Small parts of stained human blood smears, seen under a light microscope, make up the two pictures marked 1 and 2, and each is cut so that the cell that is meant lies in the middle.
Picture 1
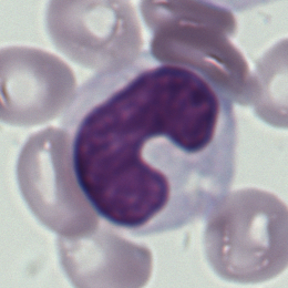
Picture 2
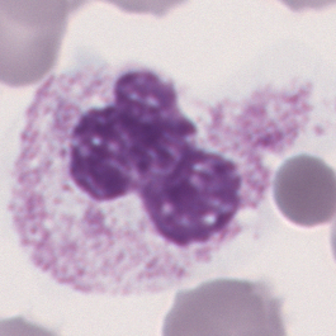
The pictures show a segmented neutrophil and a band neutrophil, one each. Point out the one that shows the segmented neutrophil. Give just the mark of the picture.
2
